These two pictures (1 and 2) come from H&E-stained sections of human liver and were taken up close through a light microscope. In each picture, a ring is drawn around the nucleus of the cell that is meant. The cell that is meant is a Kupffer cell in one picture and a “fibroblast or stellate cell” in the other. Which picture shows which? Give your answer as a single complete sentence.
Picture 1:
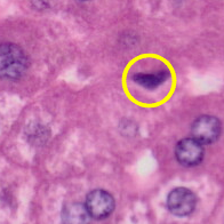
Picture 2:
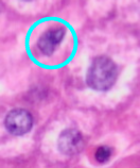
In picture 1 the cell is a “fibroblast or stellate cell”; in picture 2, a Kupffer cell.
